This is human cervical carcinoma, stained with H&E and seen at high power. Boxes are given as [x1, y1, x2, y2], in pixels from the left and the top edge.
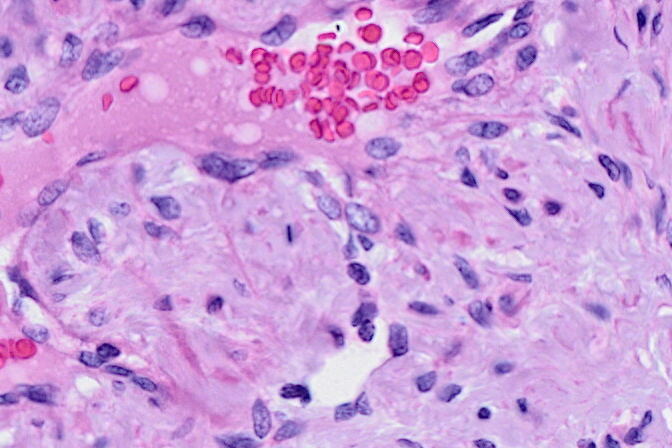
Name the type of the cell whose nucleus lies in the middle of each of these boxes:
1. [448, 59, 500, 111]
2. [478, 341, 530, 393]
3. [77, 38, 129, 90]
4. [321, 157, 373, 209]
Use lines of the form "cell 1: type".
cell 1: endothelial cell
cell 2: fibroblast
cell 3: endothelial cell
cell 4: endothelial cell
